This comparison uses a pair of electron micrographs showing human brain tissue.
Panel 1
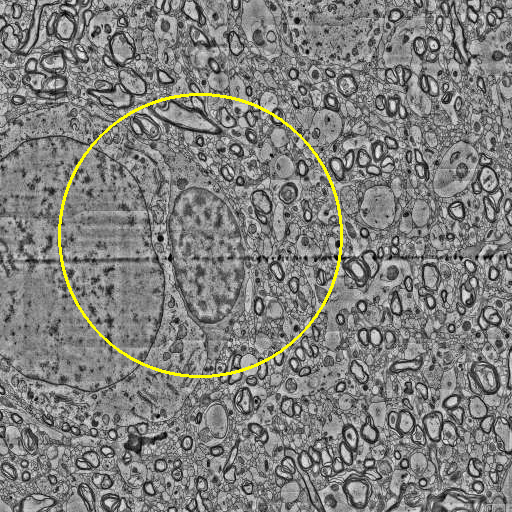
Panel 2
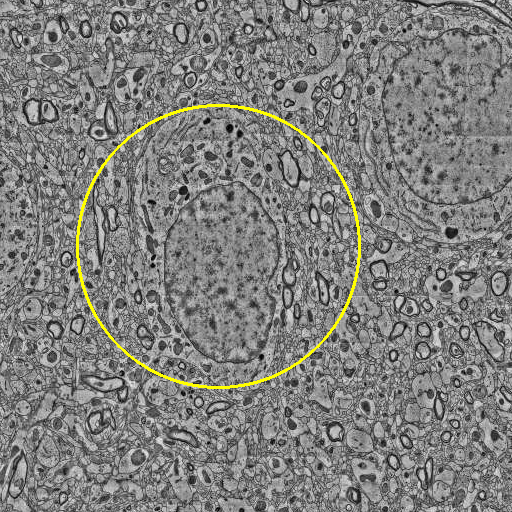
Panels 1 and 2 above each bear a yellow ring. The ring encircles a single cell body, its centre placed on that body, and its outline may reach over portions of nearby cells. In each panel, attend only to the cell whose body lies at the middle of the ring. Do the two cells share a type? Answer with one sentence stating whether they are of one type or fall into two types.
In Panel 1 and Panel 2, the cells at the centres of the rings fall into two types.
